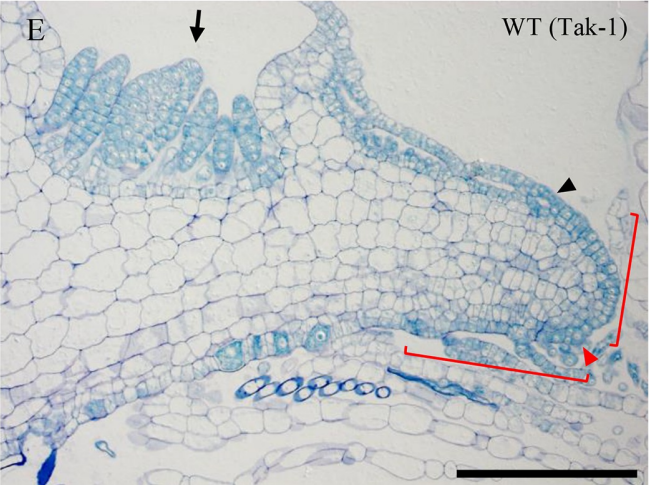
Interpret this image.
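A longitudinal section through the growing tip of a liverwort thallus, stained blue. At the right-hand tip, small, densely stained cells with prominent contents form a curved region of dividing cells. Moving away from the tip, cells enlarge into a large, pale, thin-walled storage tissue filling the body of the thallus. On the upper surface, a cup-shaped depression holds several club-shaped, multicellular bodies with densely stained cells. The upper surface layer near the tip shows small chambers forming beneath it. Along the lower surface lie flattened cells, scales and cross-sectioned rhizoid-like filaments with thick blue walls.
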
